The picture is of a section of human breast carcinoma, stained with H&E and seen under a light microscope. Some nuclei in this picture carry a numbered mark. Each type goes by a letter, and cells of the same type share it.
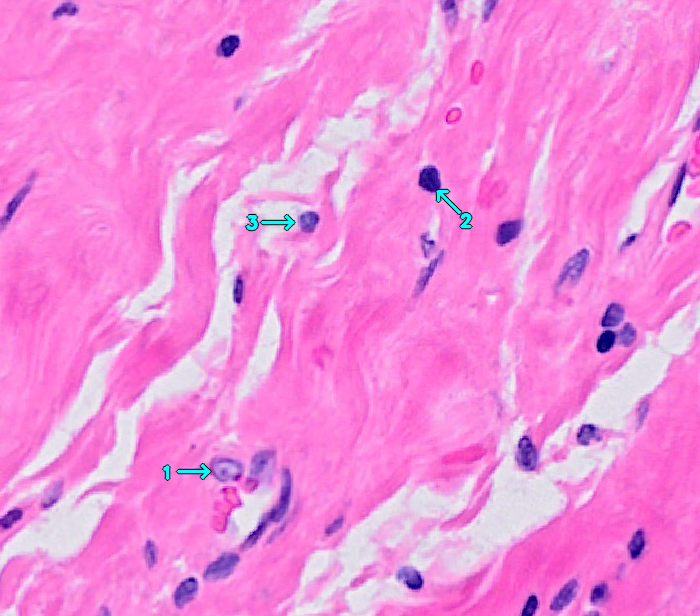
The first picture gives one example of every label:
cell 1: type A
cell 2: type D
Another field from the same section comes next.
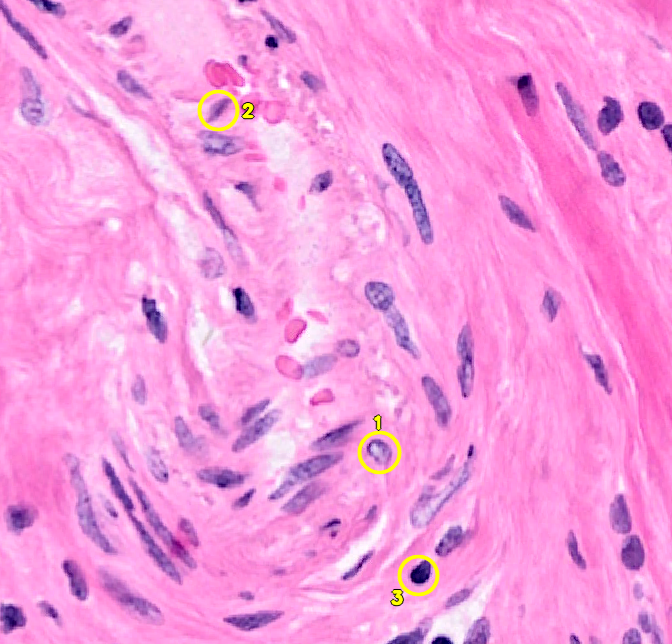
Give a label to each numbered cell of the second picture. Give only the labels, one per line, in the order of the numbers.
type A
type A
type D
